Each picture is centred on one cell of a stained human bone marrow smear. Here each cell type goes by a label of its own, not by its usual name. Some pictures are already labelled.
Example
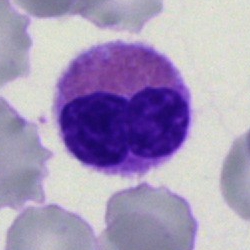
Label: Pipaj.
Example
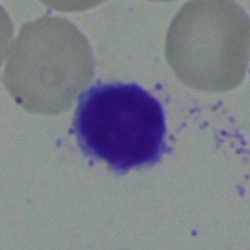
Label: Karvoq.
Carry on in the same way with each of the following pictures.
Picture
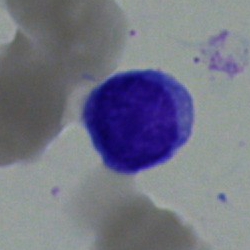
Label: Karvoq.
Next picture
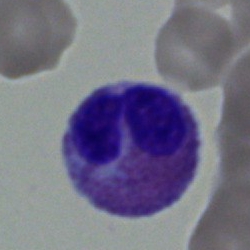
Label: Pipaj.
